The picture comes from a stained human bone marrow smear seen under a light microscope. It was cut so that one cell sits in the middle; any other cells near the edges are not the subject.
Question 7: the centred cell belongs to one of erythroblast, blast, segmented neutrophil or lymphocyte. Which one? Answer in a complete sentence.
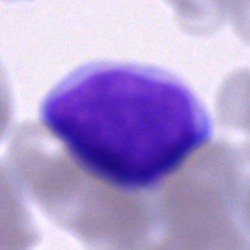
Whatever else lies nearby, the middle cell is a blast.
